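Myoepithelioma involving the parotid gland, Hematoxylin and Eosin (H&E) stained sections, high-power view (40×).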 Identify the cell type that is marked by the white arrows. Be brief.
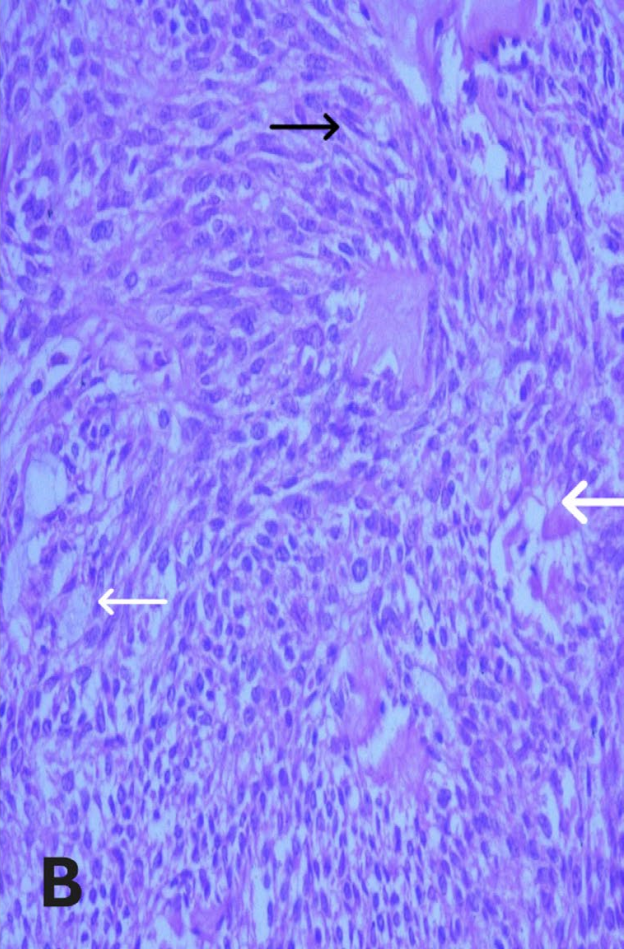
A: Clear cell component.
